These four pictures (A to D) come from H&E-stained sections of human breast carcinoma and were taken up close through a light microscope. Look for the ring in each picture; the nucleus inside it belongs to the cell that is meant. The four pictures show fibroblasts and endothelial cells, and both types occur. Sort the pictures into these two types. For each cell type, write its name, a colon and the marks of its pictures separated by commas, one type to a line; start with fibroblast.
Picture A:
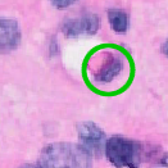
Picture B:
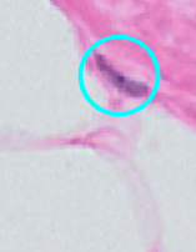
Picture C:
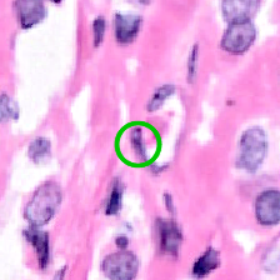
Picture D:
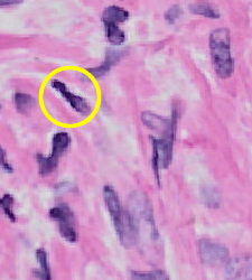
fibroblast: B, D
endothelial cell: A, C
